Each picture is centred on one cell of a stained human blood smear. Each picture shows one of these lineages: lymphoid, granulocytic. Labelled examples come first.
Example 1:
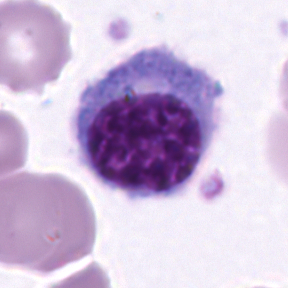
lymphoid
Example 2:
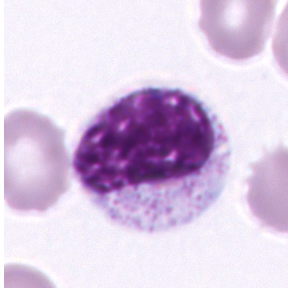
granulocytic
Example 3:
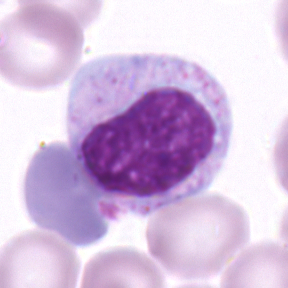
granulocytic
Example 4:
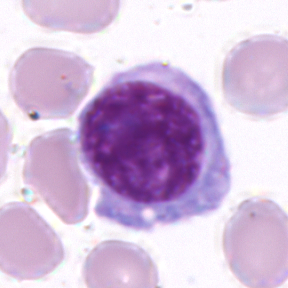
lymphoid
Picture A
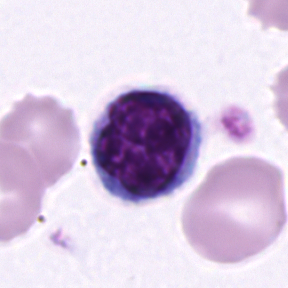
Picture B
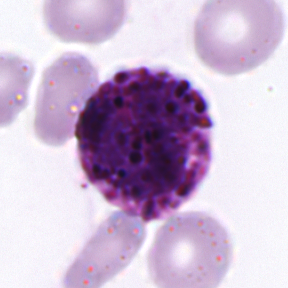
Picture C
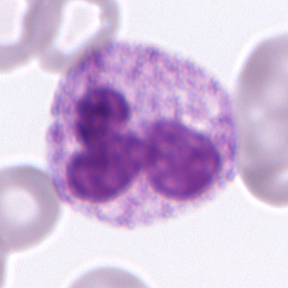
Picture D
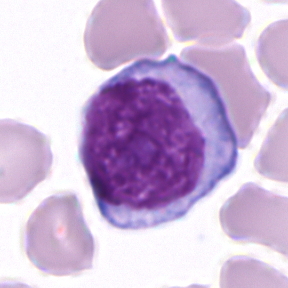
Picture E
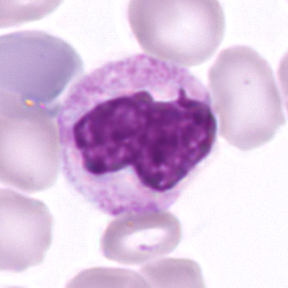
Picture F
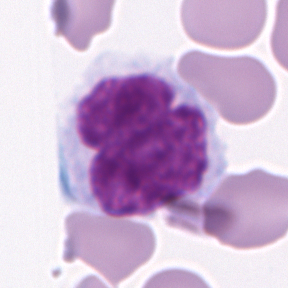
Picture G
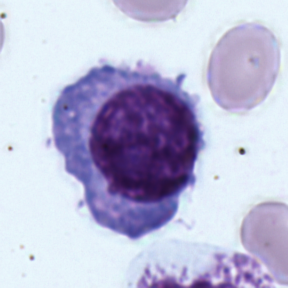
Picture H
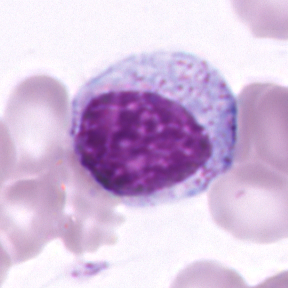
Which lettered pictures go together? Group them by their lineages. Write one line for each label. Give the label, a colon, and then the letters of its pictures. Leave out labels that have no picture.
lymphoid: A, D, F, G
granulocytic: B, C, E, H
